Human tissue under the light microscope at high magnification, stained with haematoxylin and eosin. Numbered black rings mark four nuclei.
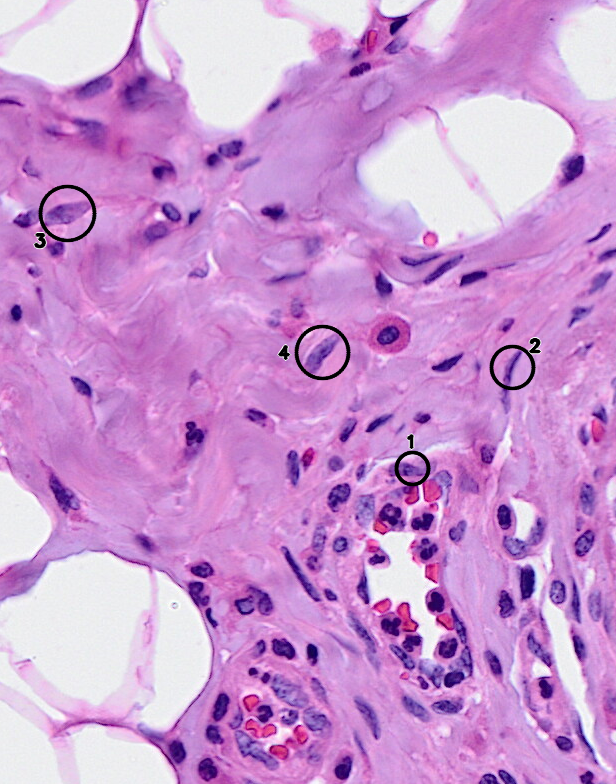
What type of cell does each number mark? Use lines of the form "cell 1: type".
cell 1: endothelial cell
cell 2: fibroblast
cell 3: fibroblast
cell 4: fibroblast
